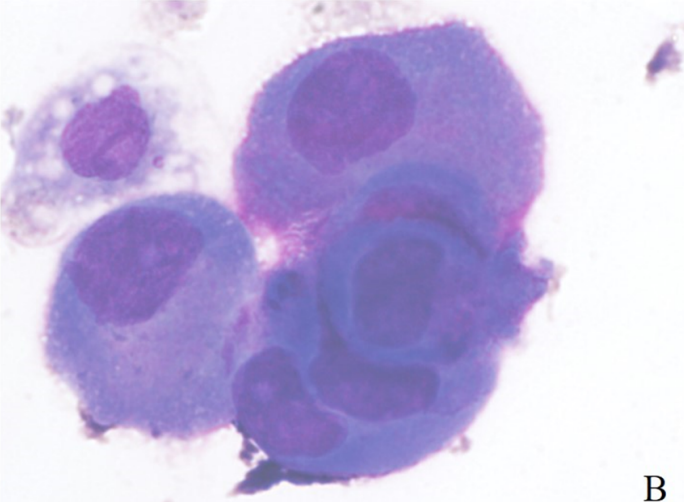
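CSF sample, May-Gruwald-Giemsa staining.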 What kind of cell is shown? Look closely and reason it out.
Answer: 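A cluster of several very large cells lying together. Abundant deep blue cytoplasm. One small cell at the upper left is much smaller than the others. The answer: tumor cells.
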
